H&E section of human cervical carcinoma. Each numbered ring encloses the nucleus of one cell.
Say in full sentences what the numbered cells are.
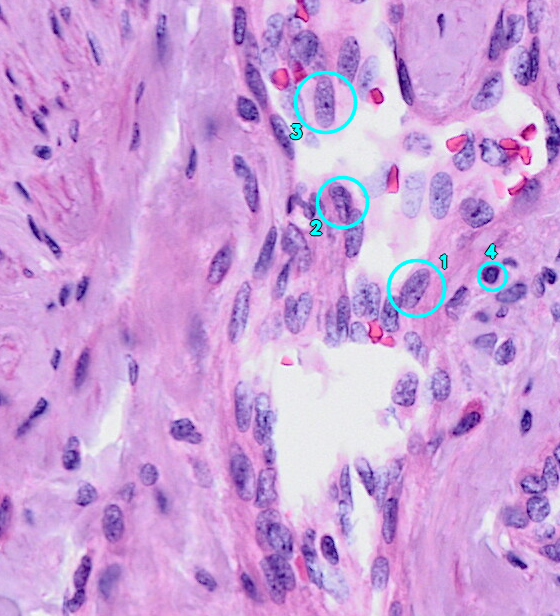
Cell 1 is an endothelial cell, cell 2 is an endothelial cell, cell 3 is an endothelial cell and cell 4 is a smooth muscle cell.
